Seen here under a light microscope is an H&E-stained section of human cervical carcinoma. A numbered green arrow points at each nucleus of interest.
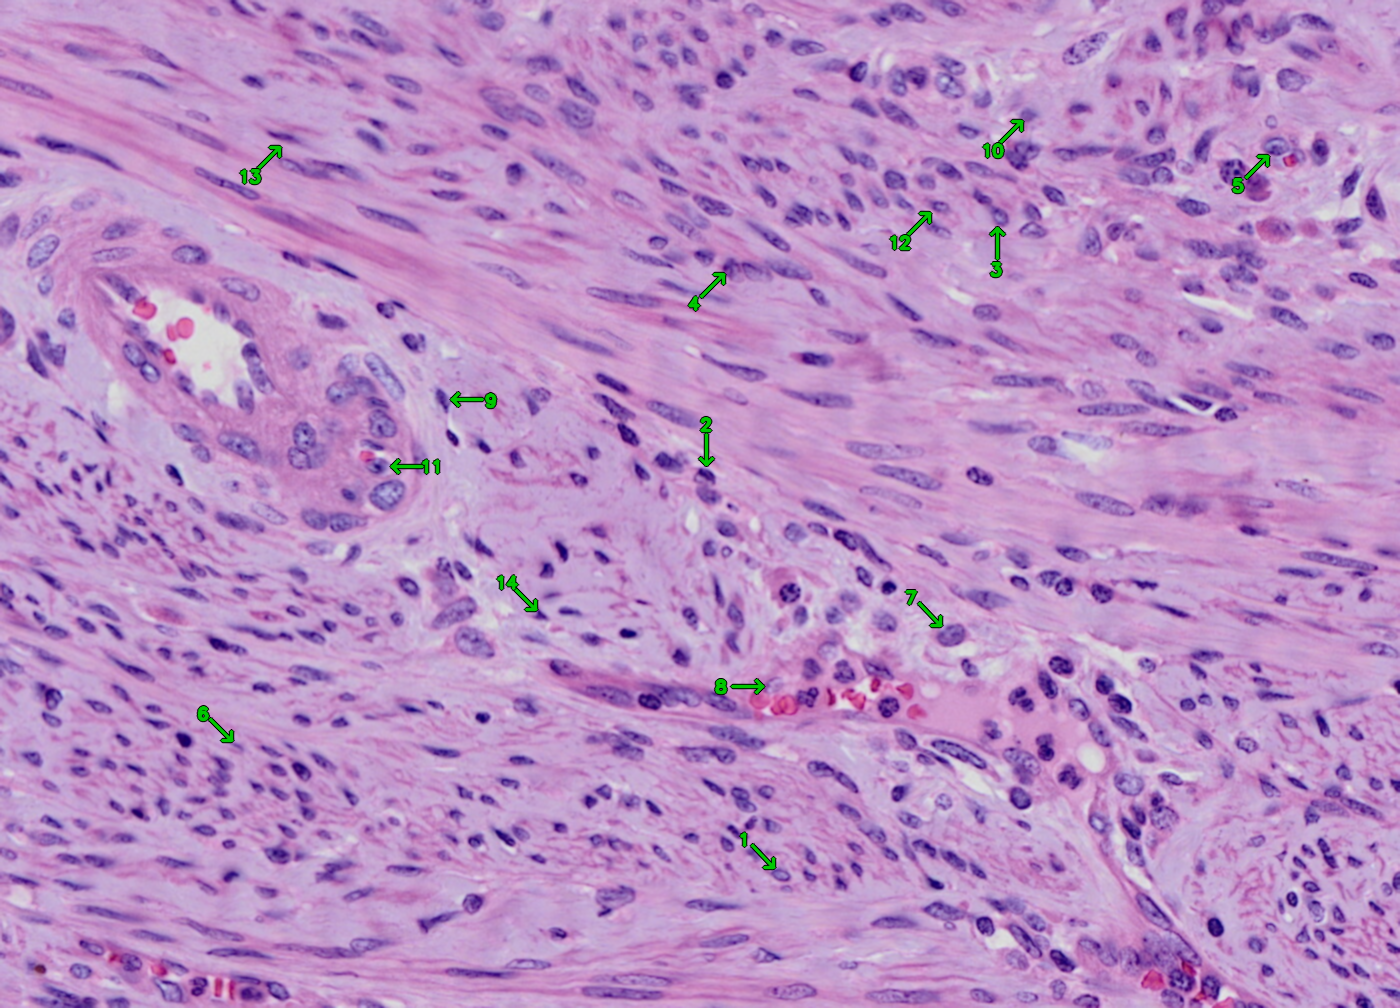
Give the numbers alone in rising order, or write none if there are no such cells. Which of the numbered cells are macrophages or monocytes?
7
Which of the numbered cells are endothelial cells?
5, 8, 11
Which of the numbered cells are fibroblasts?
9, 10, 14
